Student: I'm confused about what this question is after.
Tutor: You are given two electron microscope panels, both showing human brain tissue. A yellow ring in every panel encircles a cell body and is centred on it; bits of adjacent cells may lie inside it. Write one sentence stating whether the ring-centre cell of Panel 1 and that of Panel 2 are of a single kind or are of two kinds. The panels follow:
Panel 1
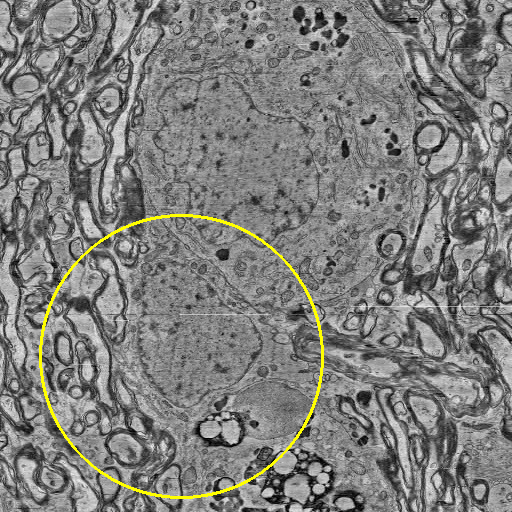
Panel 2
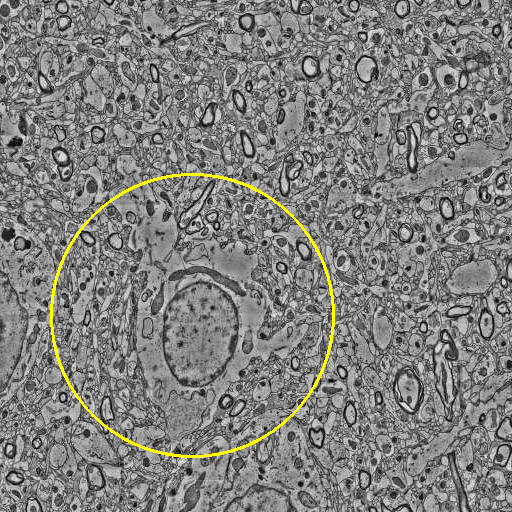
Here, the Panel 1 ring-centre cell and the Panel 2 ring-centre cell are of a single kind.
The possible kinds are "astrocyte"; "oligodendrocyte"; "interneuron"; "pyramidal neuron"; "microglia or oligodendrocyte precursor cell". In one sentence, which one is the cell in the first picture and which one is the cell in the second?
Both cells are the same kind, each one being an astrocyte.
